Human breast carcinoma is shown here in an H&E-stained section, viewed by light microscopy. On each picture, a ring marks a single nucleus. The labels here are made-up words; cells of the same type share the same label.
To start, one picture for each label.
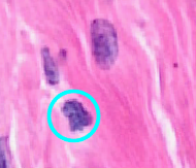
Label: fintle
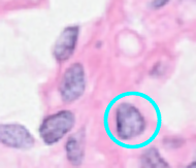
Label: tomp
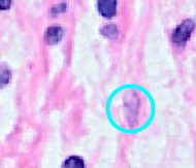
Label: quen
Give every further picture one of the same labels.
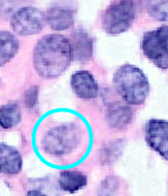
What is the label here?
tomp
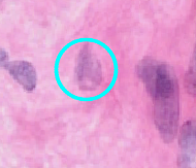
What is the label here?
quen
